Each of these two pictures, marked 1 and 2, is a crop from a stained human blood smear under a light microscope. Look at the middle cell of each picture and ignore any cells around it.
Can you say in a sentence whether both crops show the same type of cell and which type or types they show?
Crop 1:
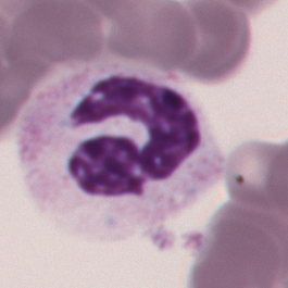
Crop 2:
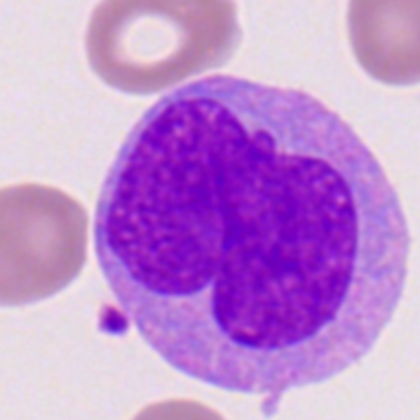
No; crop 1 is a neutrophil, while crop 2 is a monocyte.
